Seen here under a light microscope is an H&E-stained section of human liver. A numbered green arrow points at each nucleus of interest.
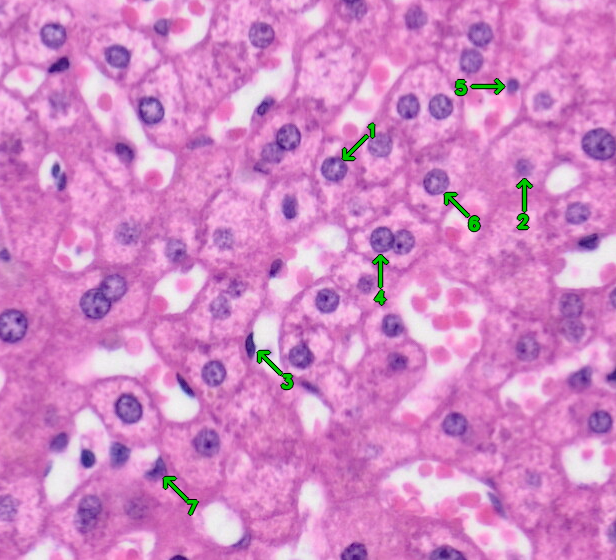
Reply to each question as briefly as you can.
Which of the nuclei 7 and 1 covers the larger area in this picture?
1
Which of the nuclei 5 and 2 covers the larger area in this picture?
2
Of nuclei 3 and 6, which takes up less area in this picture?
3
